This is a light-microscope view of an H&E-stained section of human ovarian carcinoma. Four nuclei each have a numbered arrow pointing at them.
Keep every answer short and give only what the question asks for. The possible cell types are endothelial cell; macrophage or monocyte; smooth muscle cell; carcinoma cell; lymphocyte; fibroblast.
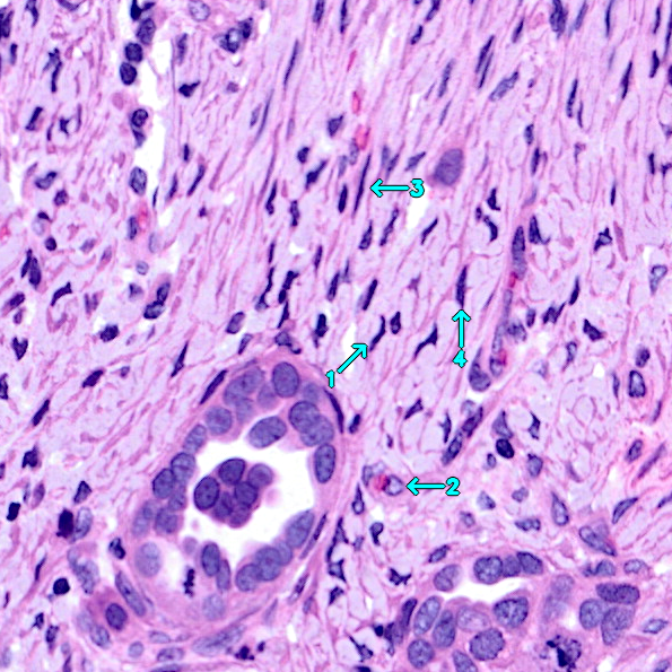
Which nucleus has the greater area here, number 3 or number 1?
3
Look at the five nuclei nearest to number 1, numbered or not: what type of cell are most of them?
fibroblast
